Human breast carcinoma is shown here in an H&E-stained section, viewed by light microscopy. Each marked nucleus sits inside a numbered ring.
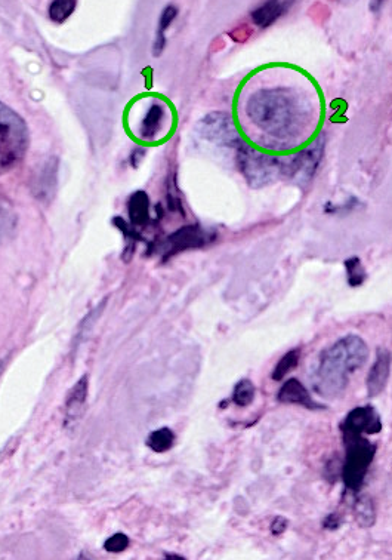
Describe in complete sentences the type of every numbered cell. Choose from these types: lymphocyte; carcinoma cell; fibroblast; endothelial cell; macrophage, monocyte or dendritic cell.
Cell 1 is a lymphocyte. Cell 2 is a carcinoma cell.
